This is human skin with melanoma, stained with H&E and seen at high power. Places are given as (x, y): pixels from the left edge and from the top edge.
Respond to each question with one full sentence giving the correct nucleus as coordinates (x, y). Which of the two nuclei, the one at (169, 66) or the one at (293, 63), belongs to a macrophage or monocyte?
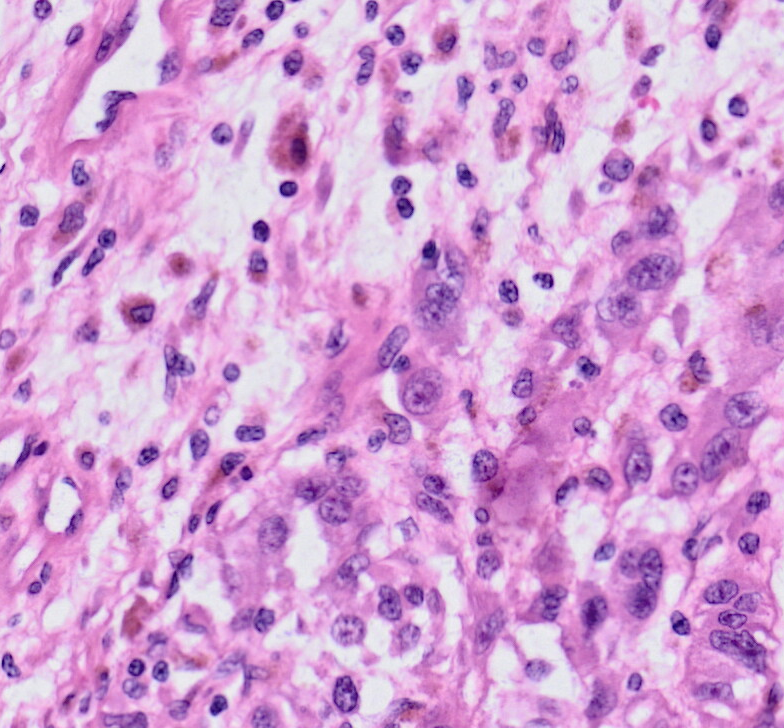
Of the pair, the nucleus located at (293, 63) belongs to a macrophage or monocyte.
